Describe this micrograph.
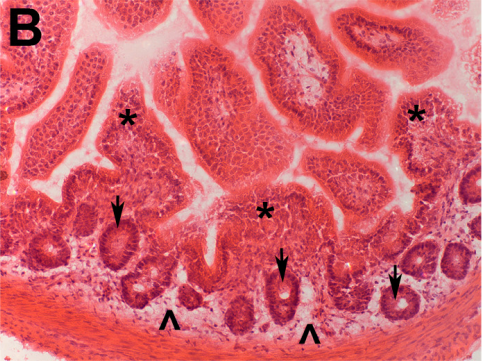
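This is small intestinal wall stained pink and purple, with villi lined by columnar epithelium, crypts at their base and a pink muscular layer at the bottom. The villi are short, broad and blunted, with rounded club-like tips, and several appear crowded together. The crypts near the base are distorted, appearing as isolated rounded rings with open lumens, irregularly spaced. Between the crypts and the muscle layer the lamina propria is pale and loose with widely separated cells, consistent with edema.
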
